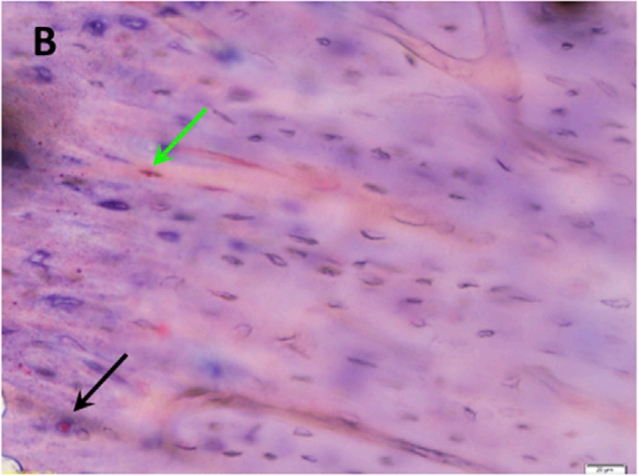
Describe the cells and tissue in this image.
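Lamellar bone is seen, with matrix arranged in parallel pinkish-purple bands. Numerous small, elongated osteocytes lie in lacunae oriented along the lamellae. Some cells are stained red, both within the matrix and near its margin. Reddish streaks follow the direction of the layers.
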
